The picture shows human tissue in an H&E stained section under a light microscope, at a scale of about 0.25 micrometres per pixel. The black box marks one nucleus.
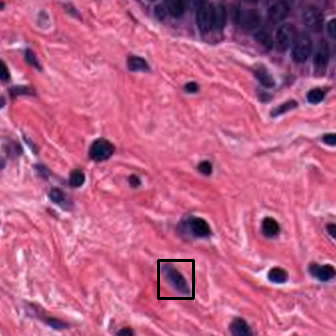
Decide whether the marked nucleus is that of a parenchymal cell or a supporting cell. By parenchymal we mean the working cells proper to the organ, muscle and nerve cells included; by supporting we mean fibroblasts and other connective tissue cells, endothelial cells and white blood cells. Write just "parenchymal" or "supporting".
supporting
